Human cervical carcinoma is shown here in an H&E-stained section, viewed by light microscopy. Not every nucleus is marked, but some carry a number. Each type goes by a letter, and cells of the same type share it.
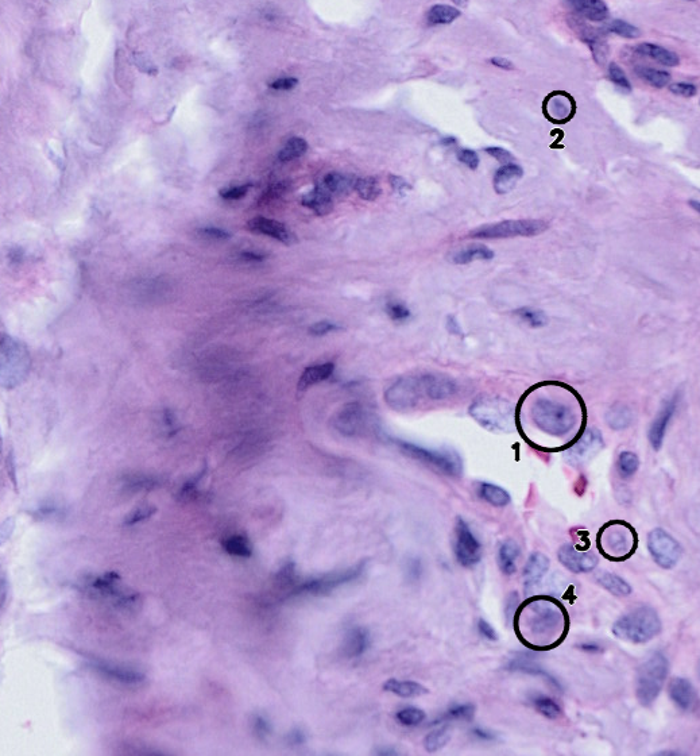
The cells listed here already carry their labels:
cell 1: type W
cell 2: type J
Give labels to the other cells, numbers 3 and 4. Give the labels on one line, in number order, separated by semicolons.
type W; type W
